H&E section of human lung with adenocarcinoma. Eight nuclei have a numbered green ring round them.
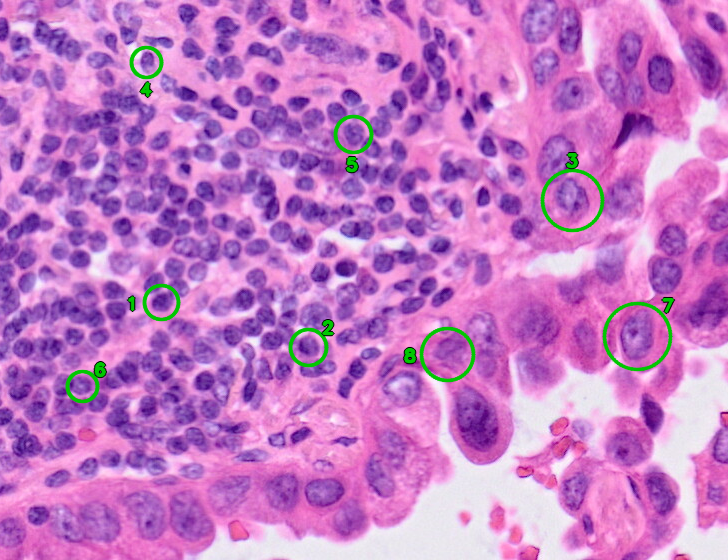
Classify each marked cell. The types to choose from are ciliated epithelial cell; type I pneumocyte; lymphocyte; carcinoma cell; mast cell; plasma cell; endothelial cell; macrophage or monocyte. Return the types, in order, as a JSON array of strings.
["lymphocyte", "lymphocyte", "carcinoma cell", "lymphocyte", "lymphocyte", "lymphocyte", "carcinoma cell", "carcinoma cell"]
